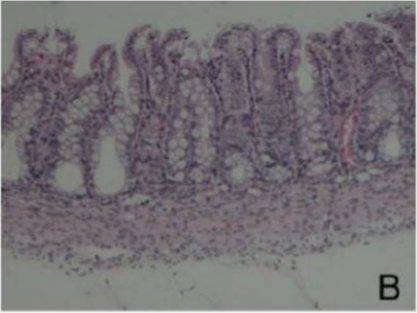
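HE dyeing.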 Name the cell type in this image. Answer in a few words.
goblet cells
